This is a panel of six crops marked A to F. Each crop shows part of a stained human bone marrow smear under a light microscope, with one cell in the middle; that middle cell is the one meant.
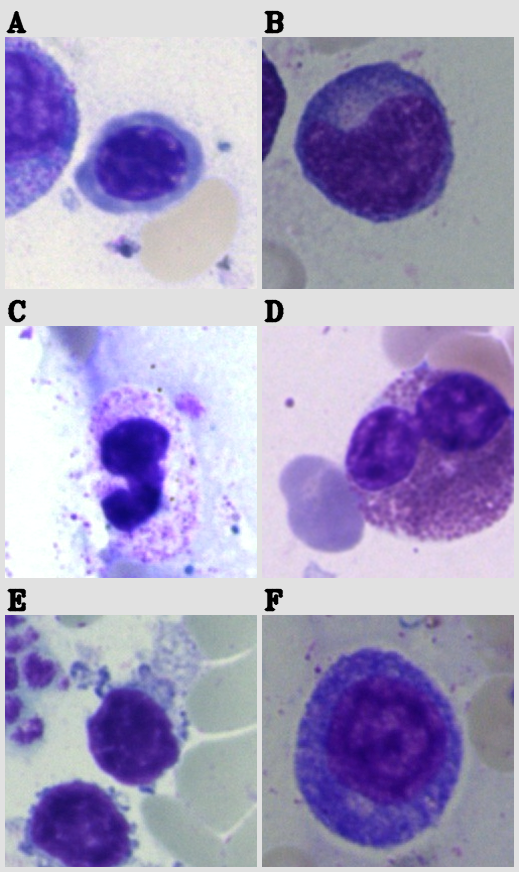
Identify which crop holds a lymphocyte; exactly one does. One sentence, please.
Crop E is the crop in which a lymphocyte is shown.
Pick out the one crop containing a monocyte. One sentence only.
The crop that has a monocyte in the middle is crop B.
